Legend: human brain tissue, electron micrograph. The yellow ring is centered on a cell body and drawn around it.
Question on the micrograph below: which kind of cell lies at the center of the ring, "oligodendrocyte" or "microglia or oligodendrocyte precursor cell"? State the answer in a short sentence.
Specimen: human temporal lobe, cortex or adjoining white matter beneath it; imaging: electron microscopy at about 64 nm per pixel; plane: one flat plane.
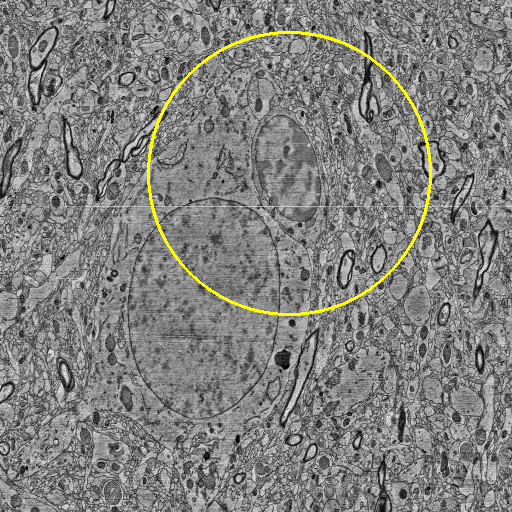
At the center of the ring lies an oligodendrocyte.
